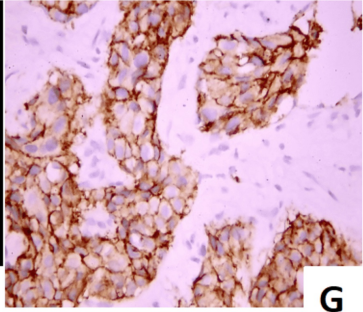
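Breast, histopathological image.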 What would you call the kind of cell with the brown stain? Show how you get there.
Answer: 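Brown-stained cells form crowded clusters and nests. These clusters sit in a pale, loose stroma with scattered elongated nuclei. The stained cells have round to oval nuclei and are packed closely together. That points to this answer: tumor cells.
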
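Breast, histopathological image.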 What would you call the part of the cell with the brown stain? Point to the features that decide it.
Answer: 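Membrane. The brown stain outlines the borders of each cell in a honeycomb pattern.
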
